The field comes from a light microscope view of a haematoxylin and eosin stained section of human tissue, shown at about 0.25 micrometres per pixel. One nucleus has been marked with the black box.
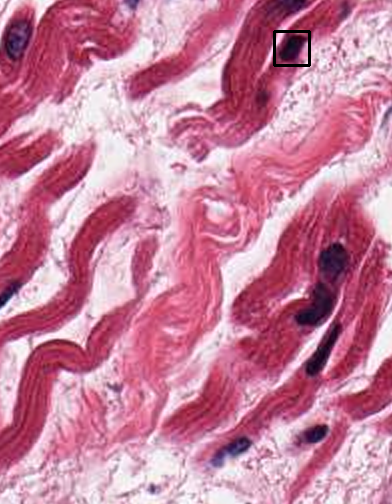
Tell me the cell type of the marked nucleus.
cardiomyocyte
